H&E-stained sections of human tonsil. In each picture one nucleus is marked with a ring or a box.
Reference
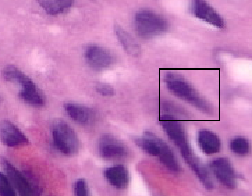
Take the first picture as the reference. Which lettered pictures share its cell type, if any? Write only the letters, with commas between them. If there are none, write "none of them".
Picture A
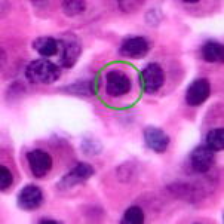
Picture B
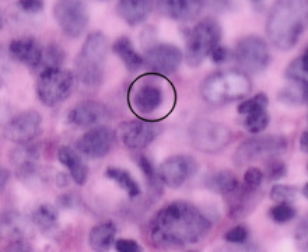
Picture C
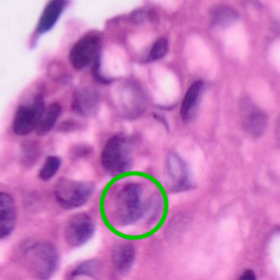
C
